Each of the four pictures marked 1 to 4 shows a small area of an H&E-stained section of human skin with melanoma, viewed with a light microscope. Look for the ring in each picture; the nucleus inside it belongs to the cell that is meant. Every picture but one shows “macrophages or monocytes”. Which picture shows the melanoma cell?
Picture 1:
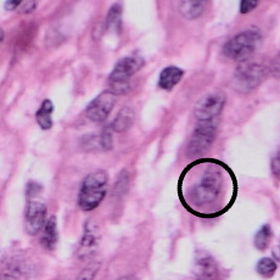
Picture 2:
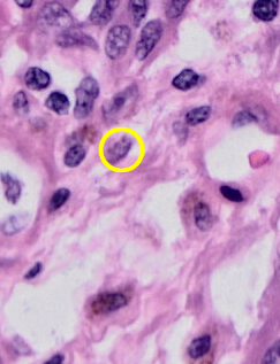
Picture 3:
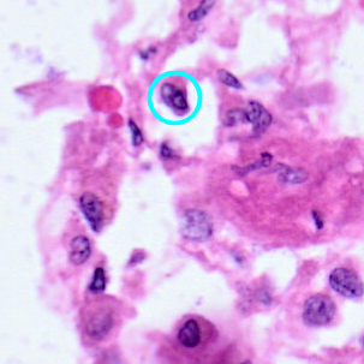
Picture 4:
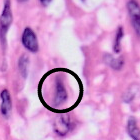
1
